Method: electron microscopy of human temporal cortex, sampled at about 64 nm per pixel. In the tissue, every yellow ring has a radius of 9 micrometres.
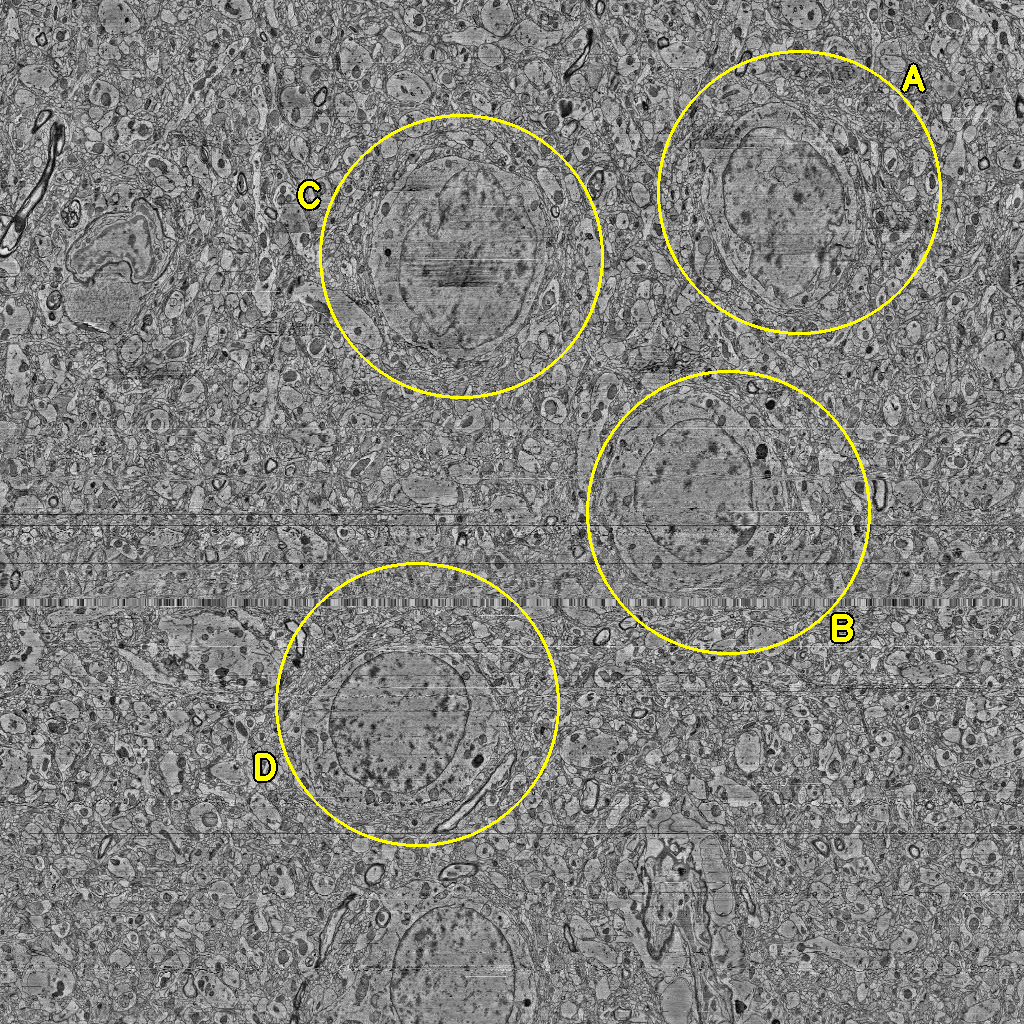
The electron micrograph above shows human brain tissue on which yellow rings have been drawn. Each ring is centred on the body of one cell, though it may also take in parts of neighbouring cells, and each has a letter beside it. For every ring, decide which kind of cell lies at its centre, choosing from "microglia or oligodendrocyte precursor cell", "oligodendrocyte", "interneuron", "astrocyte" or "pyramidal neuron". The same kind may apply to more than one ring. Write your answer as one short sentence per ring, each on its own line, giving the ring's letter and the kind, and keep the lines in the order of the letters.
Ring A is centred on an interneuron.
Ring B is centred on a pyramidal neuron.
Ring C is centred on an interneuron.
Ring D is centred on a pyramidal neuron.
